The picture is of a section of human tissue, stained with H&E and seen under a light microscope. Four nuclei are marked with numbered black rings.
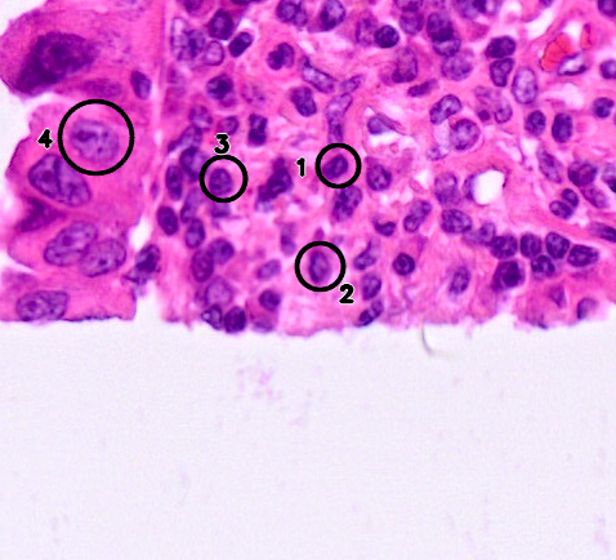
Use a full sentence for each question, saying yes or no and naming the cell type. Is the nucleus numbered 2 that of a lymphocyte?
No, calling cell 2 a lymphocyte is incorrect; it is a plasma cell.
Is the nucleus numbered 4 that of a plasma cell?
No, number 4 identifies a carcinoma cell, not a plasma cell.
